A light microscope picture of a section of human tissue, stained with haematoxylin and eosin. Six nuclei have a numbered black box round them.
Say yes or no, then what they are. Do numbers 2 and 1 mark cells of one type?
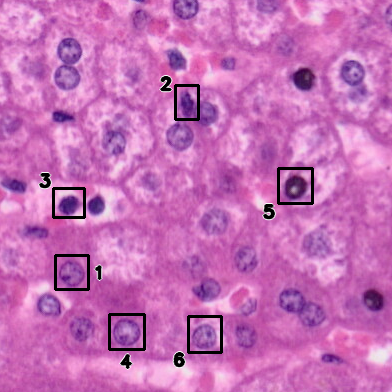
No, cell 2 is a fibroblast or stellate cell and cell 1 is a hepatocyte.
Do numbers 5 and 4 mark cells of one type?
Yes, both are hepatocytes.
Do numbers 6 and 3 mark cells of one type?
No, cell 6 is a hepatocyte and cell 3 is a lymphocyte.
